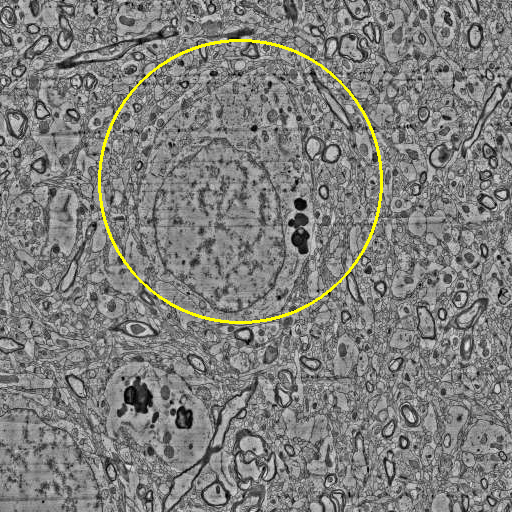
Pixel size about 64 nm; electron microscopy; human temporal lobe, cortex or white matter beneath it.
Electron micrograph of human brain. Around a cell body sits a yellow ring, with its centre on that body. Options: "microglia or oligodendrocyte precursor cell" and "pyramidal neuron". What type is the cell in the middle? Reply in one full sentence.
The cell sitting at the centre of the yellow ring is a pyramidal neuron.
